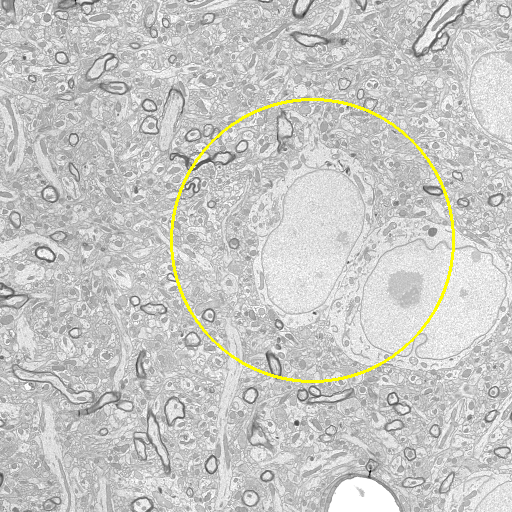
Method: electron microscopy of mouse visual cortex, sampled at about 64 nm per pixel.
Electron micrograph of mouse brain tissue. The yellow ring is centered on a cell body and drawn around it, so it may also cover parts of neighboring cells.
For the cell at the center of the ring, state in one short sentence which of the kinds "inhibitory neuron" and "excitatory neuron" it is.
This ring is centered on an excitatory neuron.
